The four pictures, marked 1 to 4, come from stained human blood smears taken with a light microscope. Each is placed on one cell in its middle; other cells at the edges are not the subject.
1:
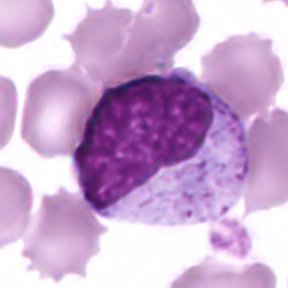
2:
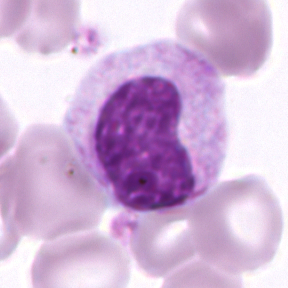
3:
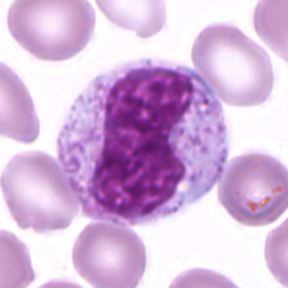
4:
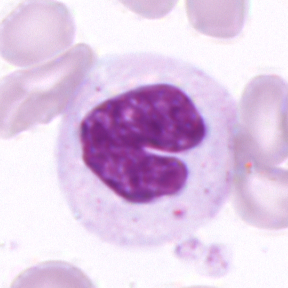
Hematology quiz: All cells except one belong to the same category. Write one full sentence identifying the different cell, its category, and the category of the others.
In this set the other crops all show metamyelocytes, and crop 4 shows a band neutrophil.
